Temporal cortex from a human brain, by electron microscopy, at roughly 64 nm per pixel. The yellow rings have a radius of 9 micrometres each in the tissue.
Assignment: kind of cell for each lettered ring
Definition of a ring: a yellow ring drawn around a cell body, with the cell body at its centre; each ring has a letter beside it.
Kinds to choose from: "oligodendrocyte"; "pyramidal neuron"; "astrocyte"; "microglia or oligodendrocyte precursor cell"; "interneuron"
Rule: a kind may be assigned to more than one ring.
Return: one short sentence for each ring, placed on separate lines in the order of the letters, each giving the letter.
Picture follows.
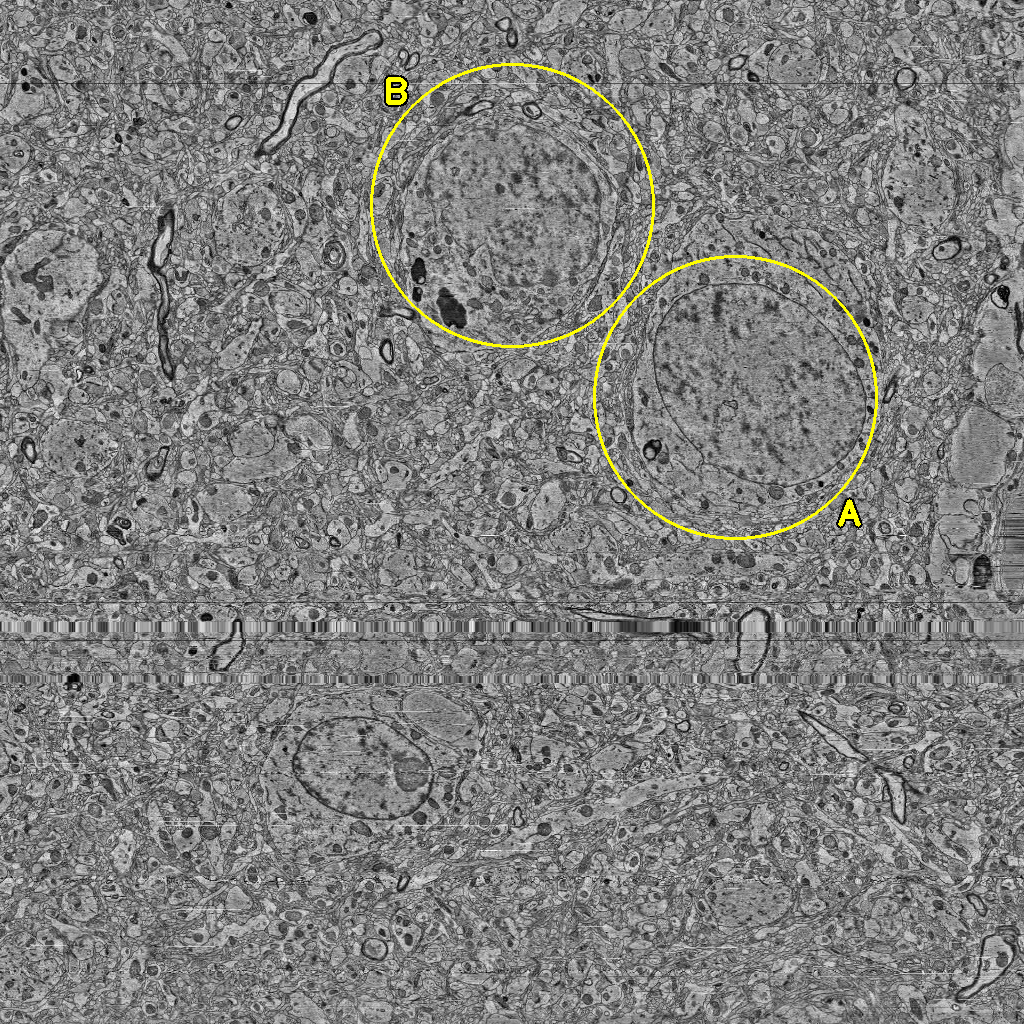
The ring marked A is centred on a pyramidal neuron.
The ring marked B is centred on an interneuron.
